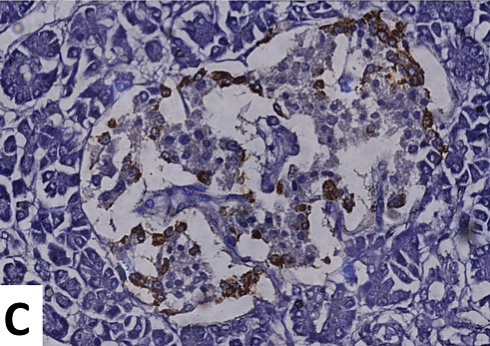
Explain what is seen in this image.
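The brown cells are relatively few and lie mainly along the outer edge of the islet, with some among the inner cords. Most islet cells show blue nuclei with pale, unstained cytoplasm. The surrounding acini are arranged in rounded groups of blue-stained cells.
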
